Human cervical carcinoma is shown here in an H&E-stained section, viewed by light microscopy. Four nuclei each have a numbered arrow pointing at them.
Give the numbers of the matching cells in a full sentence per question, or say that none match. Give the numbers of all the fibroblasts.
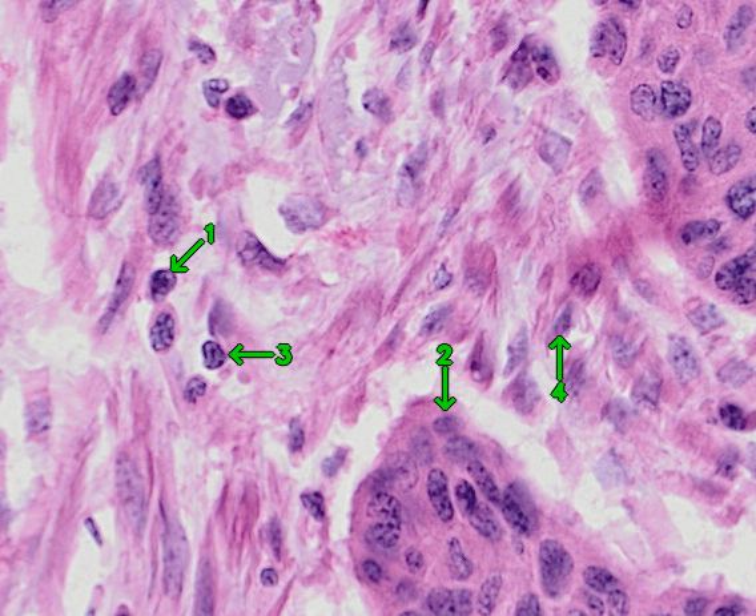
Mind that only cell 4 is a fibroblast, none of the rest.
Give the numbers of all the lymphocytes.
The cells identified by the numbers 1 and 3 are lymphocytes.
